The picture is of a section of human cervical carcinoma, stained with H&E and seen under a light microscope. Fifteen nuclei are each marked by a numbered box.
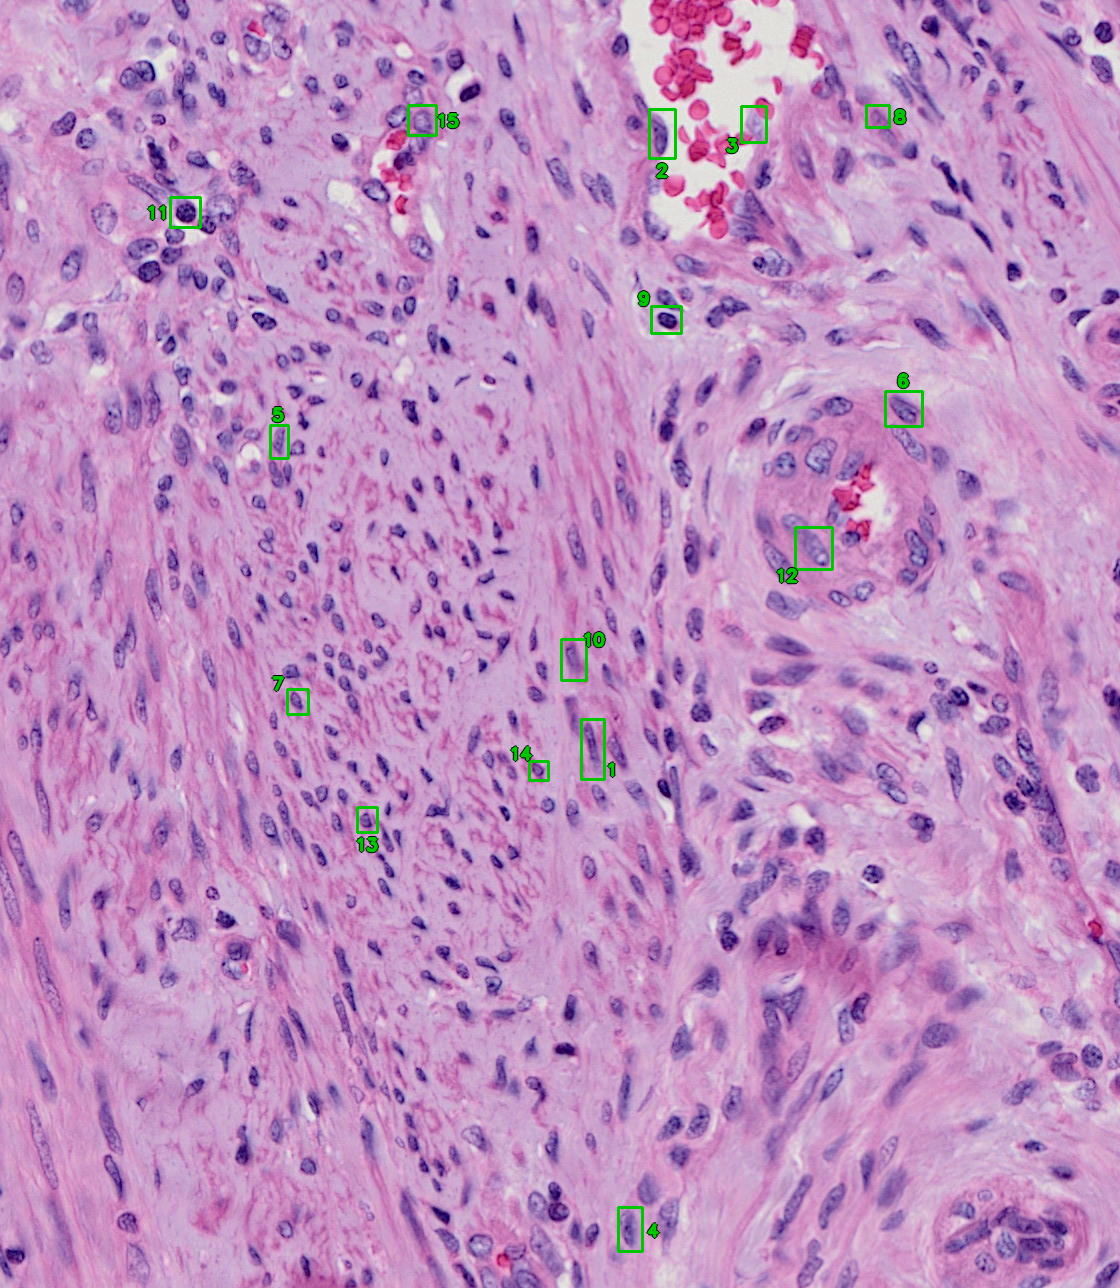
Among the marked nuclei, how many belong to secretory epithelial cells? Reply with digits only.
0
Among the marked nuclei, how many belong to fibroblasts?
1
